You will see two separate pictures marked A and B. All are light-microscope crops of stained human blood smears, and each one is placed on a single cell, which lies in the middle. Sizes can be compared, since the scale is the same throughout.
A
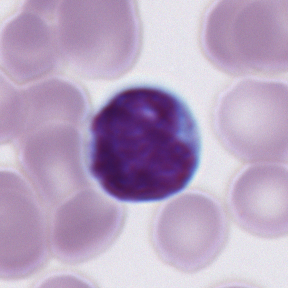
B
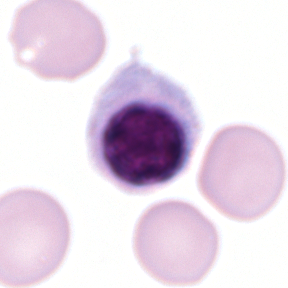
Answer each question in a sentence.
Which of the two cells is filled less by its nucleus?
Of the two, the nucleus in crop B leaves more room for cytoplasm.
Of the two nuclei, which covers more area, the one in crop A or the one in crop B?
Crop A shows the larger nucleus; it covers about 2 times the area of the nucleus in crop B.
